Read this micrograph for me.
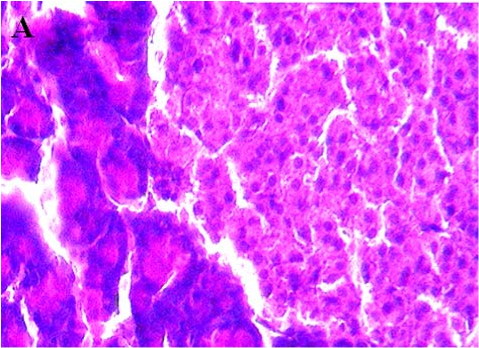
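This is pancreas, with darker purple-magenta acinar tissue on the left and a large pale pink islet filling most of the right side. The islet is made of many small, closely packed endocrine cells, each with a small round nucleus, arranged in irregular cords separated by thin clear spaces. The acinar cells beside it form dense lobules with strongly stained cytoplasm, sharply set apart from the paler islet.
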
